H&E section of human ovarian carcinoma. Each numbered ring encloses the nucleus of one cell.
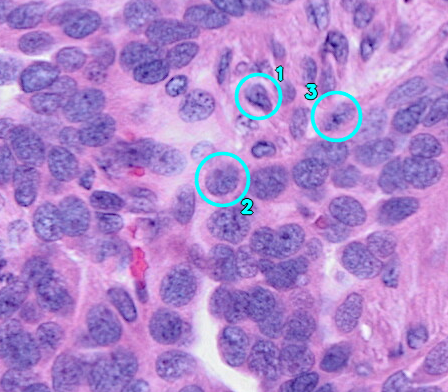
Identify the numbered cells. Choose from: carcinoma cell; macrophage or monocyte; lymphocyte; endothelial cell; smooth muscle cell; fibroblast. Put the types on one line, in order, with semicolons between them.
fibroblast; carcinoma cell; fibroblast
